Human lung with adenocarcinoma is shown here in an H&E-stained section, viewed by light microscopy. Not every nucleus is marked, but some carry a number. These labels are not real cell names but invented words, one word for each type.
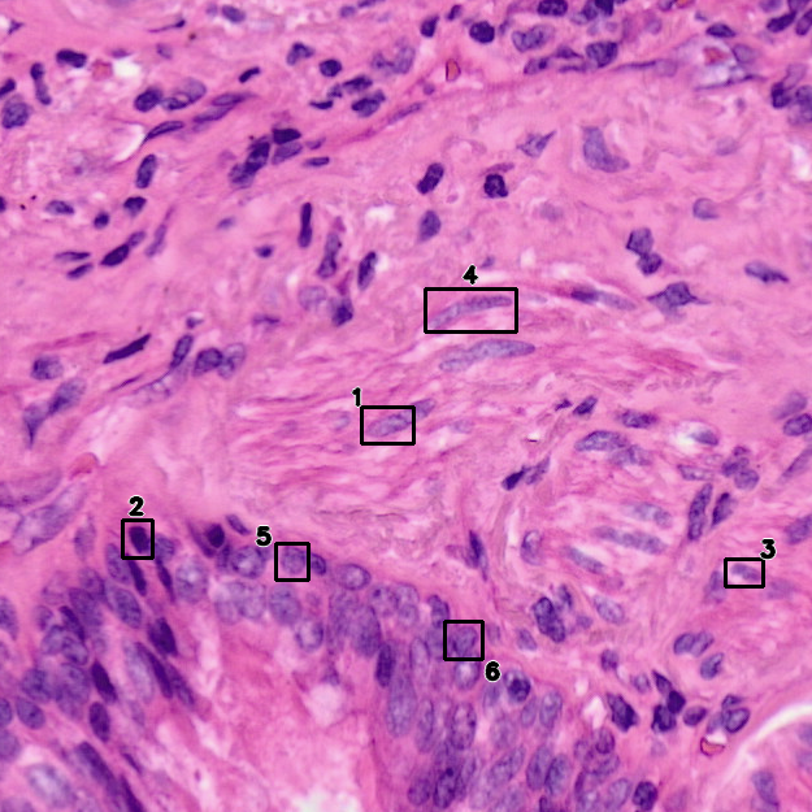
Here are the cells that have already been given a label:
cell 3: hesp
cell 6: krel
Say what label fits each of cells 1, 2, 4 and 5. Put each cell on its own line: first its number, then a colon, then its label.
1: hesp
2: krel
4: hesp
5: krel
